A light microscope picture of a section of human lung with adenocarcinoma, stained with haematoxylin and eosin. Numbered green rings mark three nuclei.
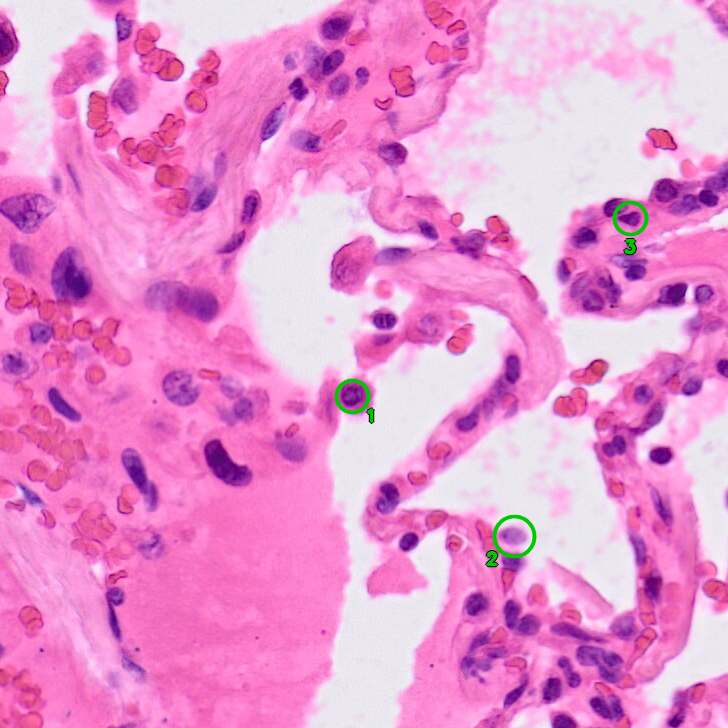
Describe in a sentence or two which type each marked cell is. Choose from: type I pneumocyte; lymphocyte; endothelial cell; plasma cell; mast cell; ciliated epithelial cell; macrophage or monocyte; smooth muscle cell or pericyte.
Cell 1 is a macrophage or monocyte. Cell 2 is a type I pneumocyte. Cell 3 is a lymphocyte.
